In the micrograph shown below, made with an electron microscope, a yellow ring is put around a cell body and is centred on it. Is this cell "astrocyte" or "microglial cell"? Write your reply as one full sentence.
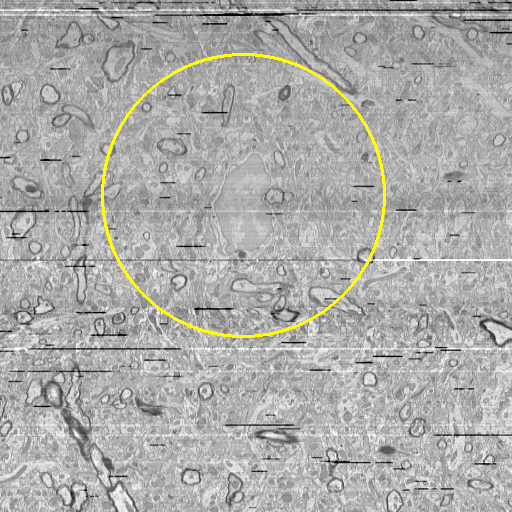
In the micrograph, a microglial cell is the cell at the centre of the yellow ring.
